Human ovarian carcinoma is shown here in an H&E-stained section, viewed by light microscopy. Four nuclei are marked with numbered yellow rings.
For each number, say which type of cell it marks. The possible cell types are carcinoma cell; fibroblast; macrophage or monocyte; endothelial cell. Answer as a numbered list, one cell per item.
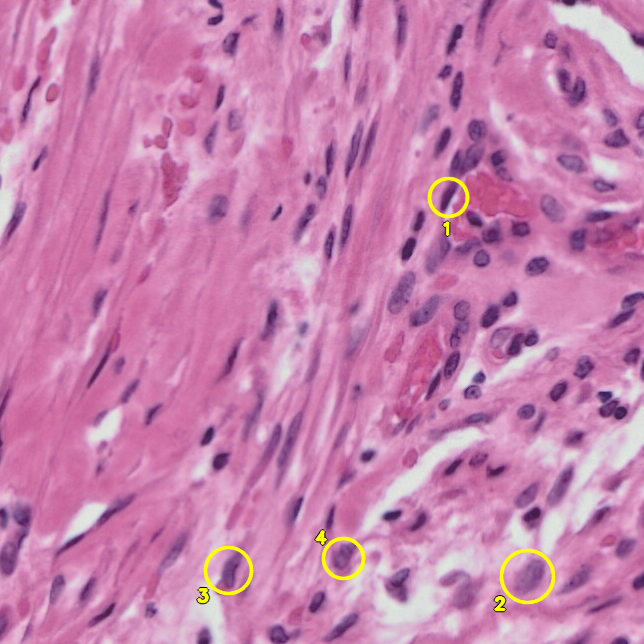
1. endothelial cell
2. fibroblast
3. fibroblast
4. fibroblast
